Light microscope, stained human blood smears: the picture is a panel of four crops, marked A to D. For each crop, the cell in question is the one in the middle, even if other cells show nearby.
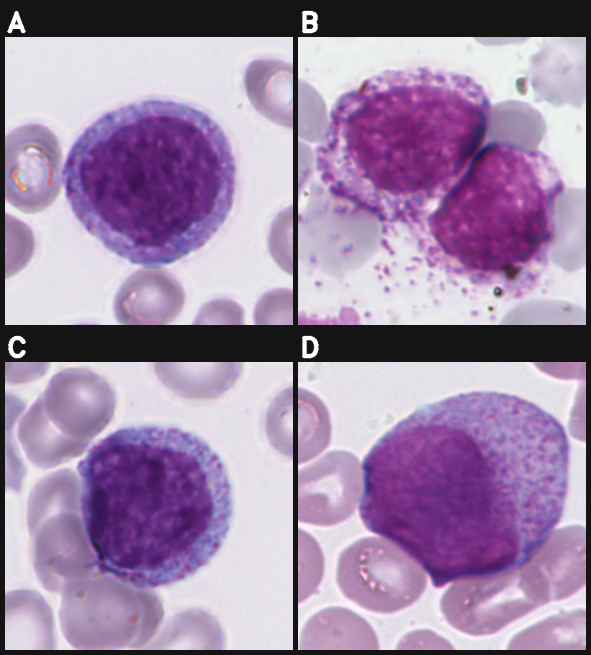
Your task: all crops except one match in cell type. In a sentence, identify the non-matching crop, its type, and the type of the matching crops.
Crop B alone is a myelocyte, and the other crops are all promyelocytes.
